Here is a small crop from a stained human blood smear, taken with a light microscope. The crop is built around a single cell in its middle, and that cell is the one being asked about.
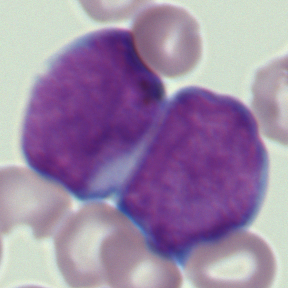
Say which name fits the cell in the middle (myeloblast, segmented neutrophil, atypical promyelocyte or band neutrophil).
myeloblast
